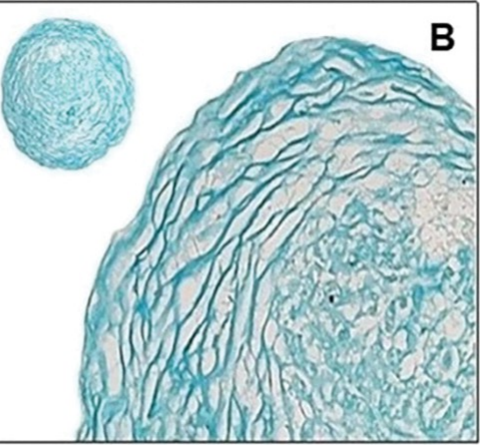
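This is a round pellet of chondrocytes, shown whole in the inset and in part at higher magnification. The material around and between the cells is stained blue-green. Near the surface, wavy strands of stained material and flattened cells run parallel to the edge. The centre holds rounder cells and is stained more palely and unevenly.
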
